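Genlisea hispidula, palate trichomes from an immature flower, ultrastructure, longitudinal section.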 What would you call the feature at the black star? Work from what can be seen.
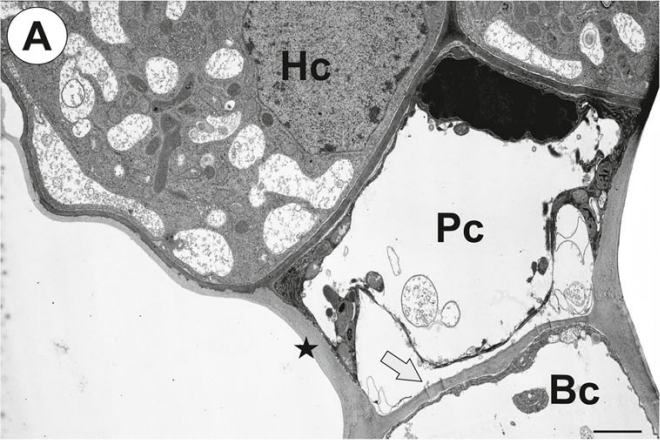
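The star lies on a thick, pale wall at the side of the small cell between the large upper cells and the lower cell.
Conclusion: thickened anticlinal wall of stalk cell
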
